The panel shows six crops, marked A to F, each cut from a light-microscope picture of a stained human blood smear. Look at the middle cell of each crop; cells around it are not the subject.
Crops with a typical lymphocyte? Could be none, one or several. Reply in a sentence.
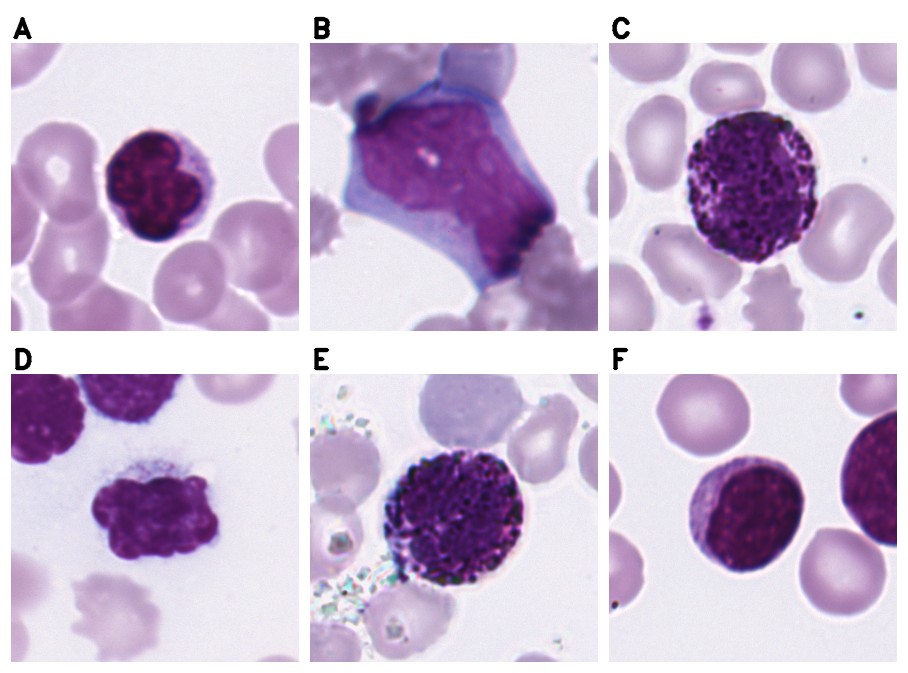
Crops A, D and F display typical lymphocytes in the centre of the field.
